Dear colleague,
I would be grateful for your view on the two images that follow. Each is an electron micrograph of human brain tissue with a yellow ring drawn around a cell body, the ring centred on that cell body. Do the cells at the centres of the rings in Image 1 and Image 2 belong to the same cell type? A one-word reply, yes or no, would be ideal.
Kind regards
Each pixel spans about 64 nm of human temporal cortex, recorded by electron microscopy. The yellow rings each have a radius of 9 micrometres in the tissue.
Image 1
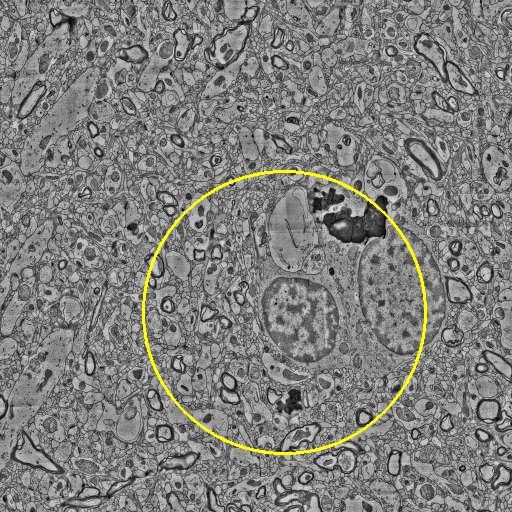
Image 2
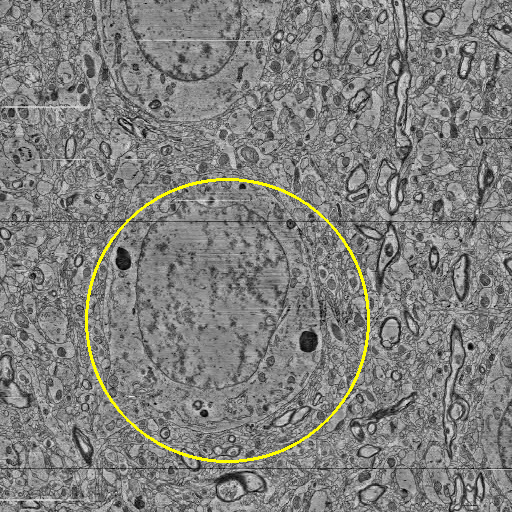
no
